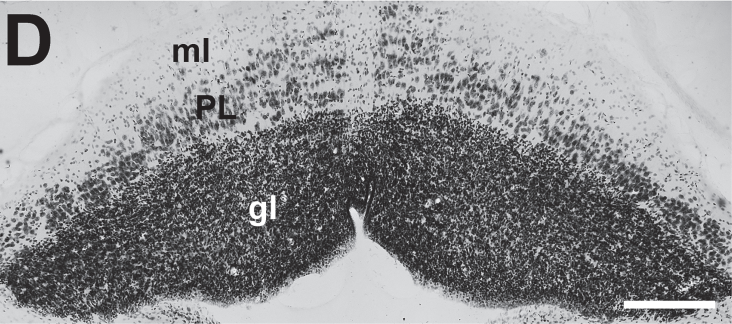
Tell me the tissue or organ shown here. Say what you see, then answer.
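Cerebellum. A dome-shaped section with a pale outer layer over a thick dense layer of small dark cells. Scattered larger cells lie at the border between the pale and dense layers. The section is symmetrical about a midline notch.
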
